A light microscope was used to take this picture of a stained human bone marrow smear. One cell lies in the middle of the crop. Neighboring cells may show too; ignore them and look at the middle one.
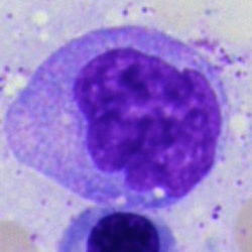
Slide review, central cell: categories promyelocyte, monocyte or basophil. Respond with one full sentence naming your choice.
Framed in the middle of the crop is a monocyte.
